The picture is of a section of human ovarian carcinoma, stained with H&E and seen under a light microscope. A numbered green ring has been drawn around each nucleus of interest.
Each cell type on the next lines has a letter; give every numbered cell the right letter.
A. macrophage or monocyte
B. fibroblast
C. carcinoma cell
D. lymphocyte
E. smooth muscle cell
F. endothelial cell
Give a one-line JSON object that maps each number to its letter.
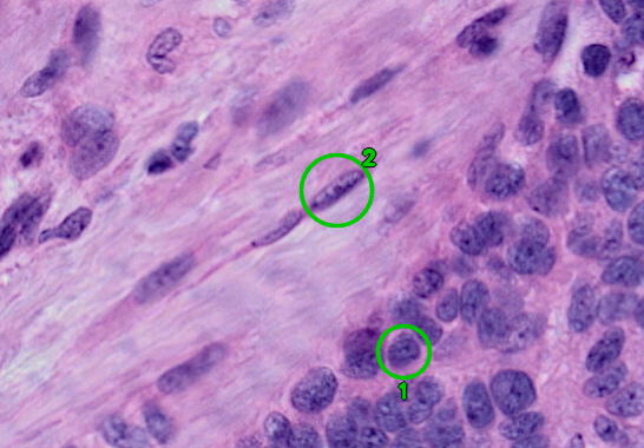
{"1": "C", "2": "B"}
